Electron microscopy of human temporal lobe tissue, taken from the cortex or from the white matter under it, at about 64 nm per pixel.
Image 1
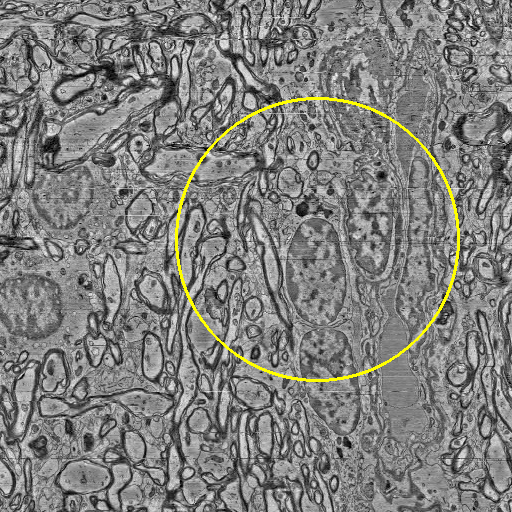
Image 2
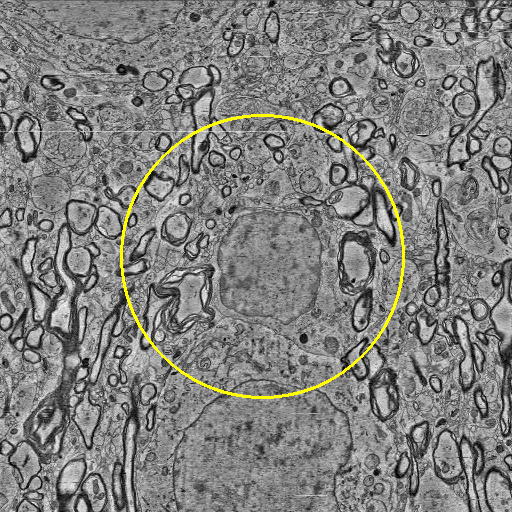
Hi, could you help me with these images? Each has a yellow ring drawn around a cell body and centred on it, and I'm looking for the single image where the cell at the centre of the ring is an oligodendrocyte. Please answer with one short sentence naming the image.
It is Image 2 that has it at the centre of its ring.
